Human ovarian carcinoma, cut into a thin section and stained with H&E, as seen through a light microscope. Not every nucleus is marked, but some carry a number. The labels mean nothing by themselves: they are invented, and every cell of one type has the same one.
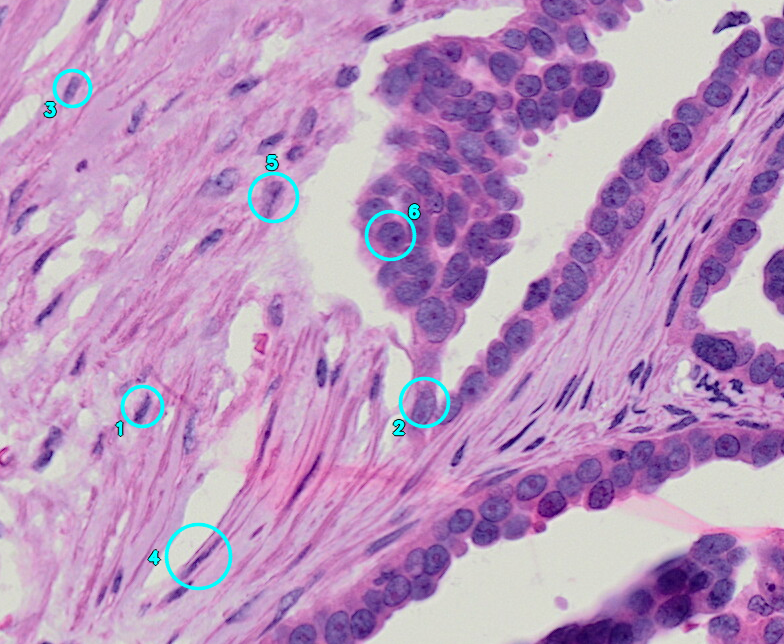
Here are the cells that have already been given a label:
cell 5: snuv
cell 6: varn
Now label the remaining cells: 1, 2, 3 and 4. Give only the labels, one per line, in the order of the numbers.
snuv
varn
snuv
snuv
